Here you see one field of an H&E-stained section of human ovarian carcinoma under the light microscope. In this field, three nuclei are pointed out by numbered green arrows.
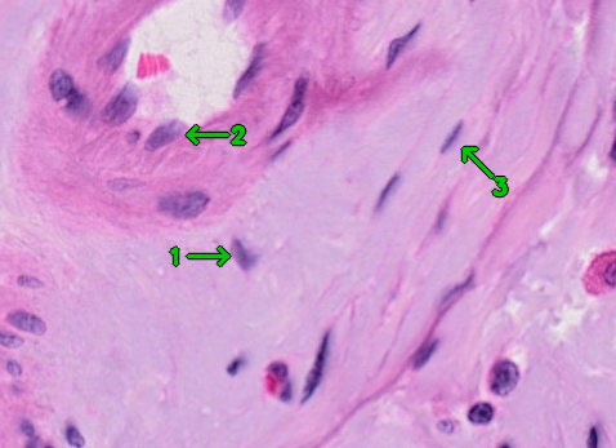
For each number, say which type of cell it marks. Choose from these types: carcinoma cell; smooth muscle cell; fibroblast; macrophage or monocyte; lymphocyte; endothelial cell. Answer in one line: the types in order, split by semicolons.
fibroblast; endothelial cell; fibroblast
